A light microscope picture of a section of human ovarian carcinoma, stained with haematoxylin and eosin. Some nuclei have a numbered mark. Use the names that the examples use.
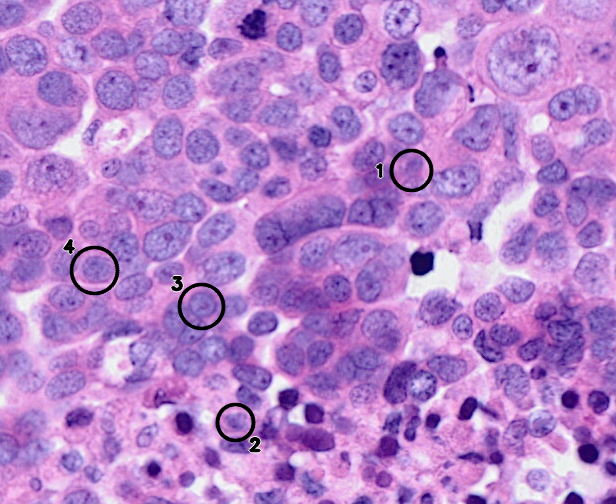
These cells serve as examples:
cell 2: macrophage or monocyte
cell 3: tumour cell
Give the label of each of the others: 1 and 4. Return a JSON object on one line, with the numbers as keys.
{"1": "tumour cell", "4": "tumour cell"}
